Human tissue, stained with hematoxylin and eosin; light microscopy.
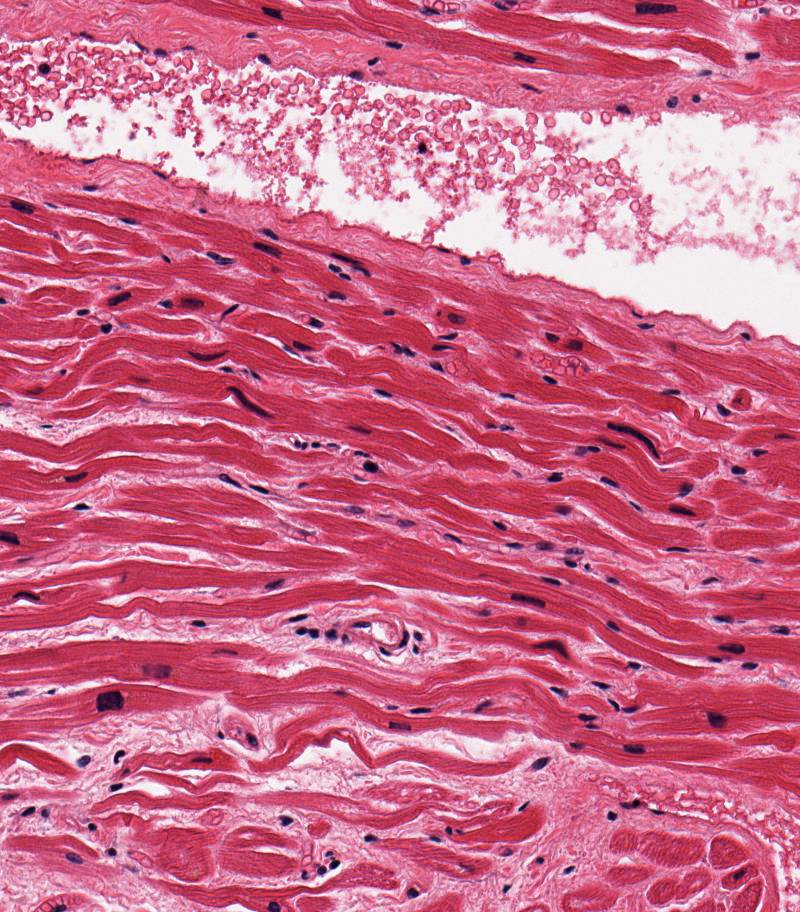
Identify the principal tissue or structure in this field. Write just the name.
myocardium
